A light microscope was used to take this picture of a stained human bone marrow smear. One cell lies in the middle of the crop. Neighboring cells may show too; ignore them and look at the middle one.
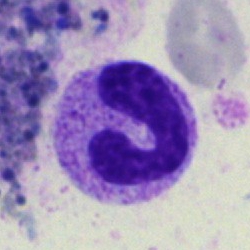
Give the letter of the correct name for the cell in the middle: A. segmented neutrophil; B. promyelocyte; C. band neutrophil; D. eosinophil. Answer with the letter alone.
C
